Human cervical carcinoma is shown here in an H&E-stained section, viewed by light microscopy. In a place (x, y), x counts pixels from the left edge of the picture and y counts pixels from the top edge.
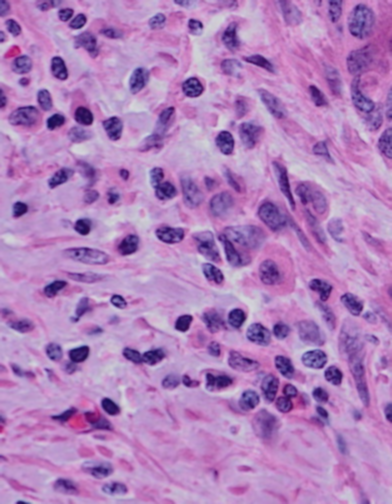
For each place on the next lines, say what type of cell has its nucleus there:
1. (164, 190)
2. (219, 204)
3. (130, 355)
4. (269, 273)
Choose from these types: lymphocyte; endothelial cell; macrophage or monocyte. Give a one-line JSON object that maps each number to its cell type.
{"1": "lymphocyte", "2": "endothelial cell", "3": "lymphocyte", "4": "macrophage or monocyte"}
